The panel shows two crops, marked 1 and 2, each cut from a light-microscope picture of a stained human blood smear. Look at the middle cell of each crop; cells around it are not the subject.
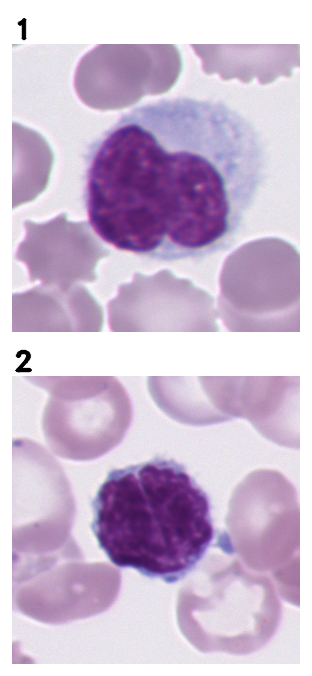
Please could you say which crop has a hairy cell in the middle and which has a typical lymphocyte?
1: hairy cell
2: typical lymphocyte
